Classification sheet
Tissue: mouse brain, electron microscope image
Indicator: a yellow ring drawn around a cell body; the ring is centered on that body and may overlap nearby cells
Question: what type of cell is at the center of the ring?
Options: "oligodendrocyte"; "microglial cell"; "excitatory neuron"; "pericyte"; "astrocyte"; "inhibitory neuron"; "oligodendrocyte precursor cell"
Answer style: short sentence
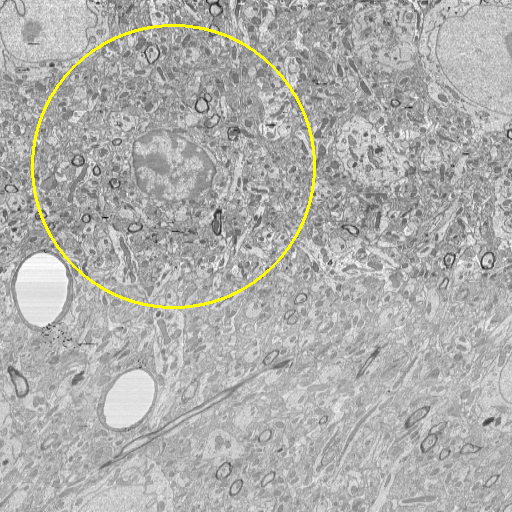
At the ring's center is an oligodendrocyte.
